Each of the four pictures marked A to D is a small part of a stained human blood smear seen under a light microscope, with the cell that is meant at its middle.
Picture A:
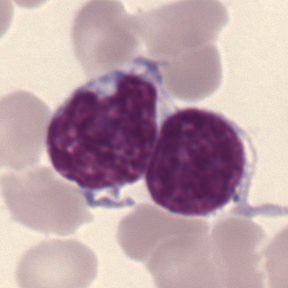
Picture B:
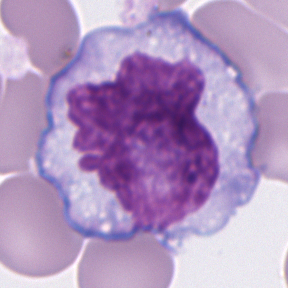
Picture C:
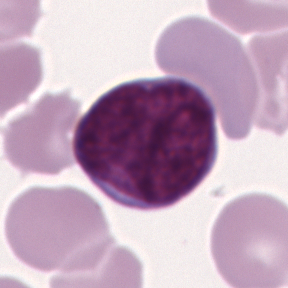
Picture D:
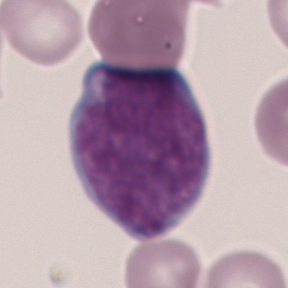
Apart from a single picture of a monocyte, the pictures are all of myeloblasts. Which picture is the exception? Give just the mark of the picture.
B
